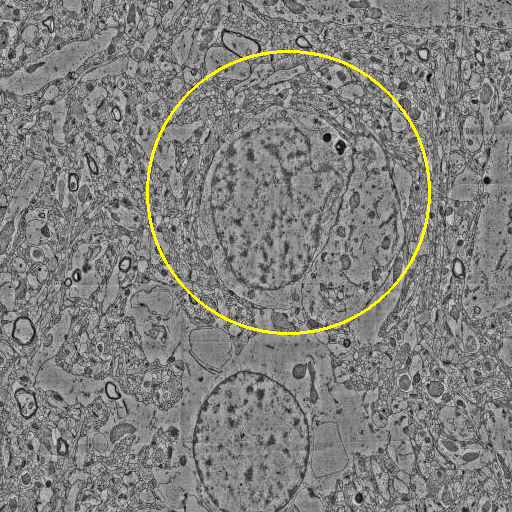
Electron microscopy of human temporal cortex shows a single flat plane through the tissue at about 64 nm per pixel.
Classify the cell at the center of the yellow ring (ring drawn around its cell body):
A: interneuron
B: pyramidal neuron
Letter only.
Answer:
A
